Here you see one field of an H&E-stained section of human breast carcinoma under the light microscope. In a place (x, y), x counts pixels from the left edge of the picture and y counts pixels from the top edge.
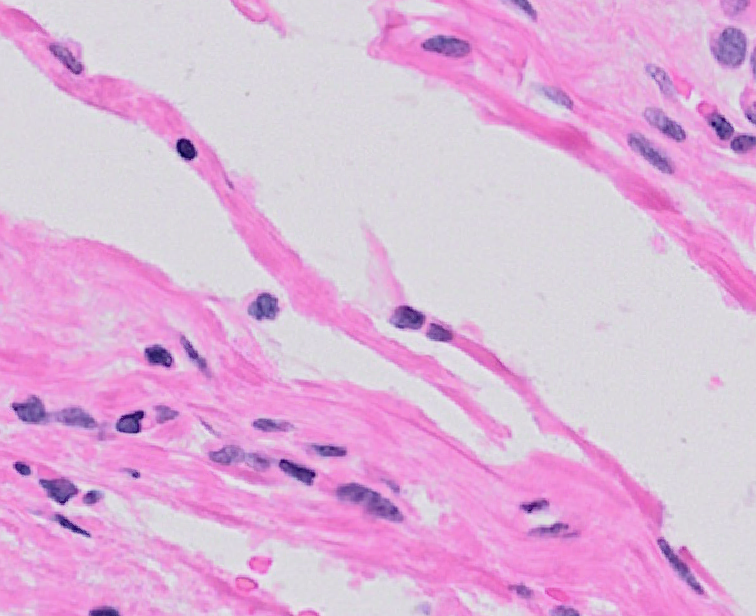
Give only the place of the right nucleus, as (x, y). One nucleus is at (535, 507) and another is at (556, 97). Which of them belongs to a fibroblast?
(556, 97)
